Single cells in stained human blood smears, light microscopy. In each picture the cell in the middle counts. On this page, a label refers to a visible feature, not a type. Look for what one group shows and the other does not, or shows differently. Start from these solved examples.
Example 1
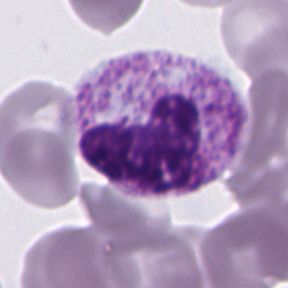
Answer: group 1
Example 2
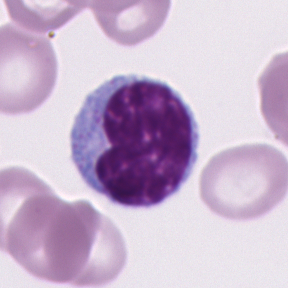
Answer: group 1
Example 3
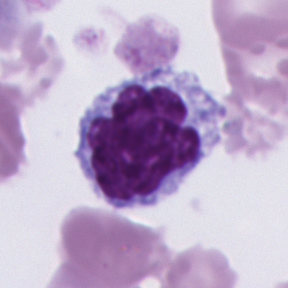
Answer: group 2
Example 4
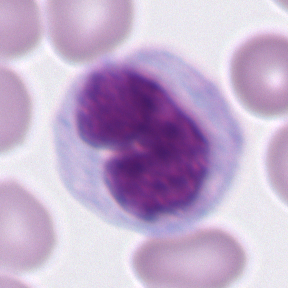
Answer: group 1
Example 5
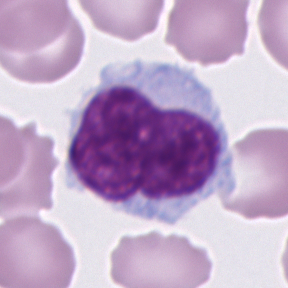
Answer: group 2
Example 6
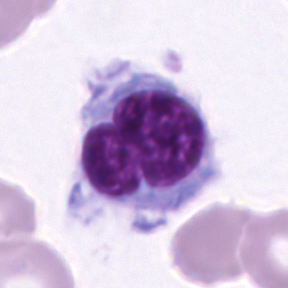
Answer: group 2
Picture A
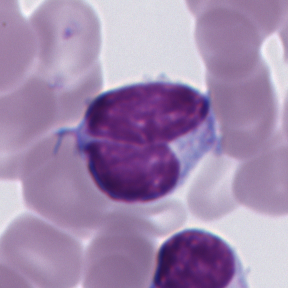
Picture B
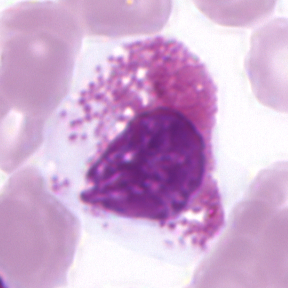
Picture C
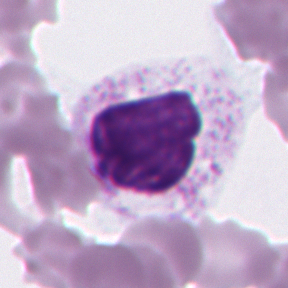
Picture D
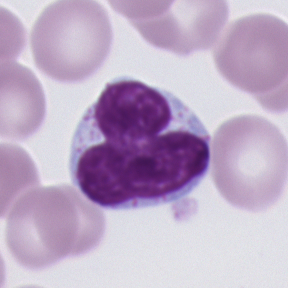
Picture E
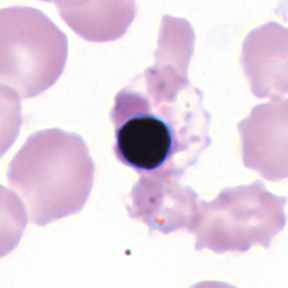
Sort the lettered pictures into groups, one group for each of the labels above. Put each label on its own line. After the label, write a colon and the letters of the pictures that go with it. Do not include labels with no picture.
group 1: B, C, E
group 2: A, D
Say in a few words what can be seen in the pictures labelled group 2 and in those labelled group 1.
In group 2: lobed nucleus. In group 1: single compact nucleus.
